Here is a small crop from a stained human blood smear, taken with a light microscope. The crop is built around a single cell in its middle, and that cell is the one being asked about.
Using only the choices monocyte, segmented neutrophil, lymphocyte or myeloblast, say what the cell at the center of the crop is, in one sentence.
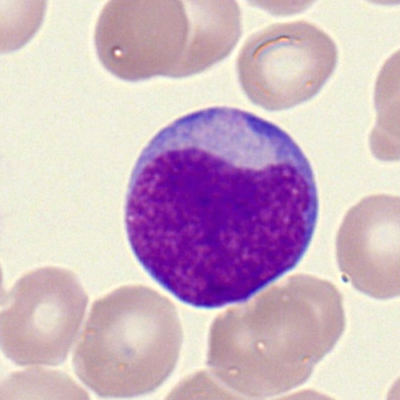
The cell positioned in the middle of the field is a myeloblast.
